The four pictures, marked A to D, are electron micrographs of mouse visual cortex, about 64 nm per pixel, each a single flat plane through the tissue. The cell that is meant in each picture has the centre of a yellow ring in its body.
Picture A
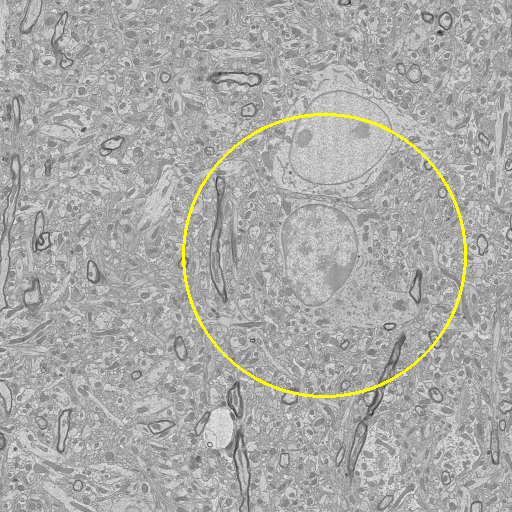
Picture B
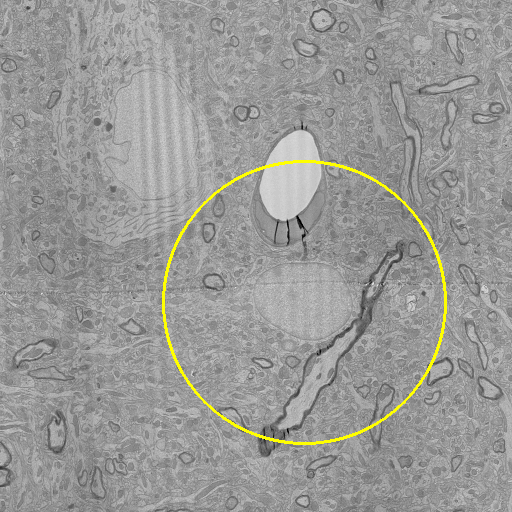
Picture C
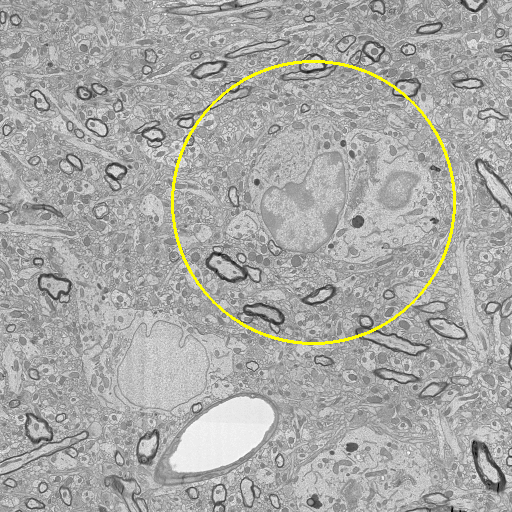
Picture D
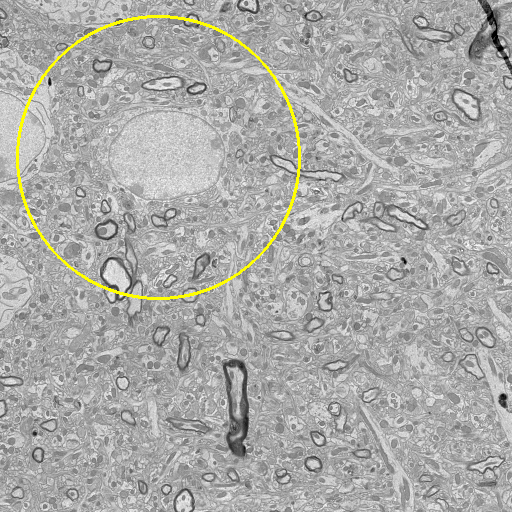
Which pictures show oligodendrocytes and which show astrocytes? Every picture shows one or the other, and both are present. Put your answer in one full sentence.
Pictures A and C show oligodendrocytes; pictures B and D show astrocytes.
